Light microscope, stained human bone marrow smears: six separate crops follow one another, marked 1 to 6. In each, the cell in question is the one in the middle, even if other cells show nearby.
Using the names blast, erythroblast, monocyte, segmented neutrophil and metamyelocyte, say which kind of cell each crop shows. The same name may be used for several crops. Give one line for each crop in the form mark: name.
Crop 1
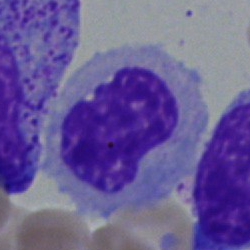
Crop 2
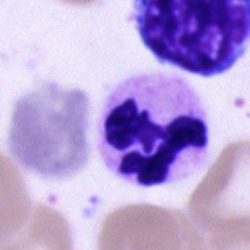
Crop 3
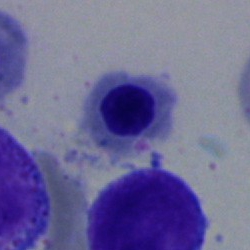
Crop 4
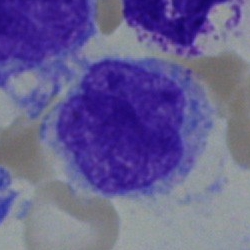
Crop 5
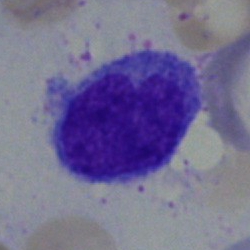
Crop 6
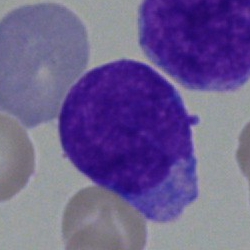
1: metamyelocyte
2: segmented neutrophil
3: erythroblast
4: monocyte
5: monocyte
6: blast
